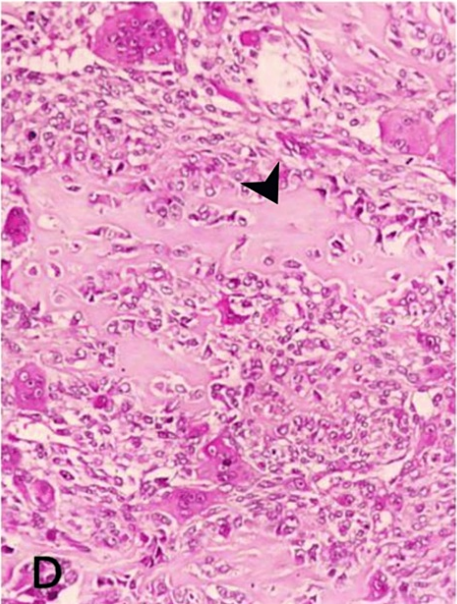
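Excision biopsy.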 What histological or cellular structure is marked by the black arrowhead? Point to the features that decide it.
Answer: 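Eosinophilic osteoid. The arrowhead marks a homogeneous pale pink glassy matrix. This matrix forms bands between groups of cells.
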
